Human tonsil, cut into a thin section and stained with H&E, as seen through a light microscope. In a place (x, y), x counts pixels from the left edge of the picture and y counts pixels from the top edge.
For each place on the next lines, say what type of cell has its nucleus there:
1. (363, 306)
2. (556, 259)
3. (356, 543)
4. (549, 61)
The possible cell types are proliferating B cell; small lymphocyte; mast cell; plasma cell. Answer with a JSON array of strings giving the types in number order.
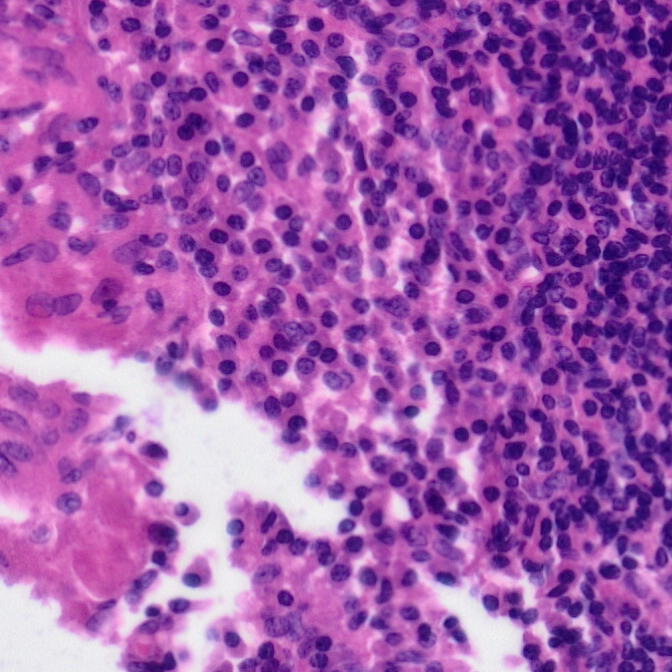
["plasma cell", "small lymphocyte", "plasma cell", "small lymphocyte"]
